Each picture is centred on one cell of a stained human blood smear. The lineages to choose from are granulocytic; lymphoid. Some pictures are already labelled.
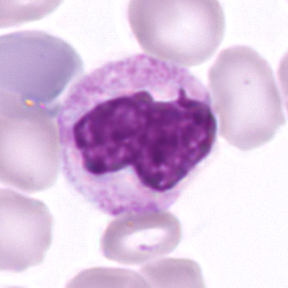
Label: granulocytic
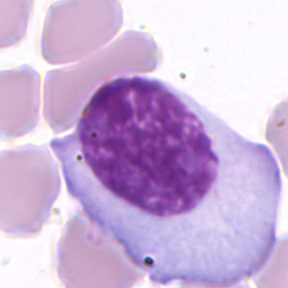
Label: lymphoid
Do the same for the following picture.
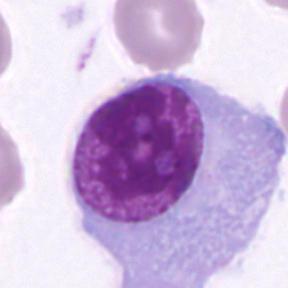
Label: lymphoid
